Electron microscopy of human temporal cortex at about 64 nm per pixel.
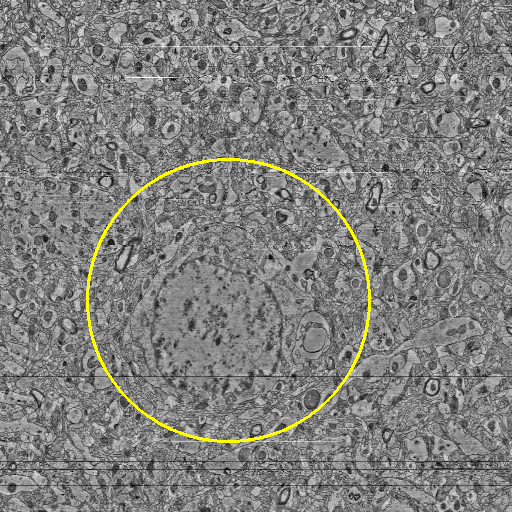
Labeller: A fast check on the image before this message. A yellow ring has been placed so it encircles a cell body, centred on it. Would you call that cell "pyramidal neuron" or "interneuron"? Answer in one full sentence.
In this image, an interneuron is the cell on which the yellow ring is centred.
